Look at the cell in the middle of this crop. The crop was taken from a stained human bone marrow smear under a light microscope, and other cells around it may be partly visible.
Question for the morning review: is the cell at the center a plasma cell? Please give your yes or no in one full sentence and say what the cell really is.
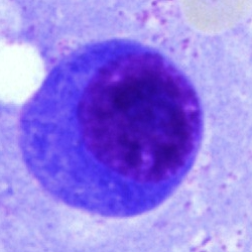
Yes, the cell at the crop's center is a plasma cell.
